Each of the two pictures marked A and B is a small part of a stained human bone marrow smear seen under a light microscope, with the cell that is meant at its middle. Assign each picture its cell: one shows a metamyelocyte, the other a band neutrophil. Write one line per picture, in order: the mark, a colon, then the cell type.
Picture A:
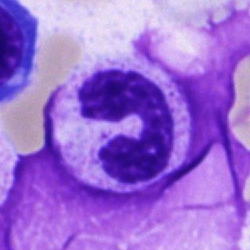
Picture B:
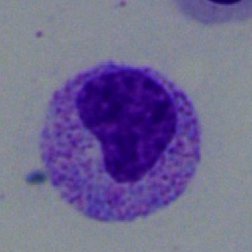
A: band neutrophil
B: metamyelocyte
